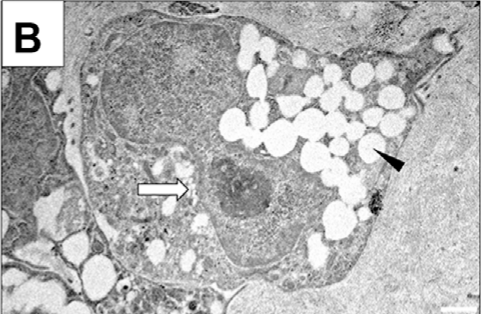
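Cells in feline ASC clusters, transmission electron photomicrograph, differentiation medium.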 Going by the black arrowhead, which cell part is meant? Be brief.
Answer: vacuoles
